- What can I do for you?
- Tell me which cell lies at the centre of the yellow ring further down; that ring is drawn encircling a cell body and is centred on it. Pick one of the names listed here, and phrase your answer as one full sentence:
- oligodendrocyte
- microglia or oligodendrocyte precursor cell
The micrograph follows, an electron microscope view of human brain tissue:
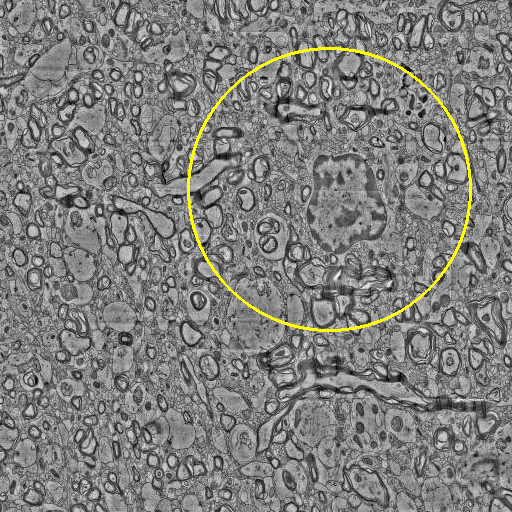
The cell whose body lies at the centre of the yellow ring is a microglial cell or oligodendrocyte precursor cell.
